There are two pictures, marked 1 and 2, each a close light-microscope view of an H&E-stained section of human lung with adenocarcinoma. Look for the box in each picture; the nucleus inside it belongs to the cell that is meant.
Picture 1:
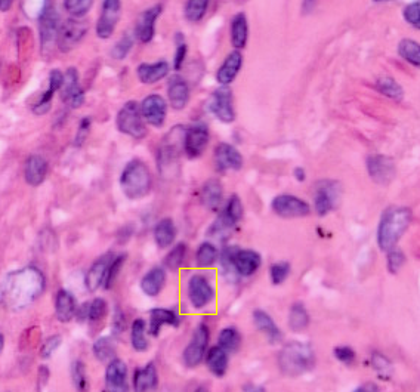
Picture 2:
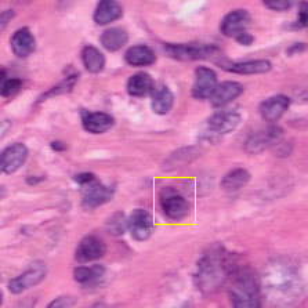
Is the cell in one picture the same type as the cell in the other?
no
